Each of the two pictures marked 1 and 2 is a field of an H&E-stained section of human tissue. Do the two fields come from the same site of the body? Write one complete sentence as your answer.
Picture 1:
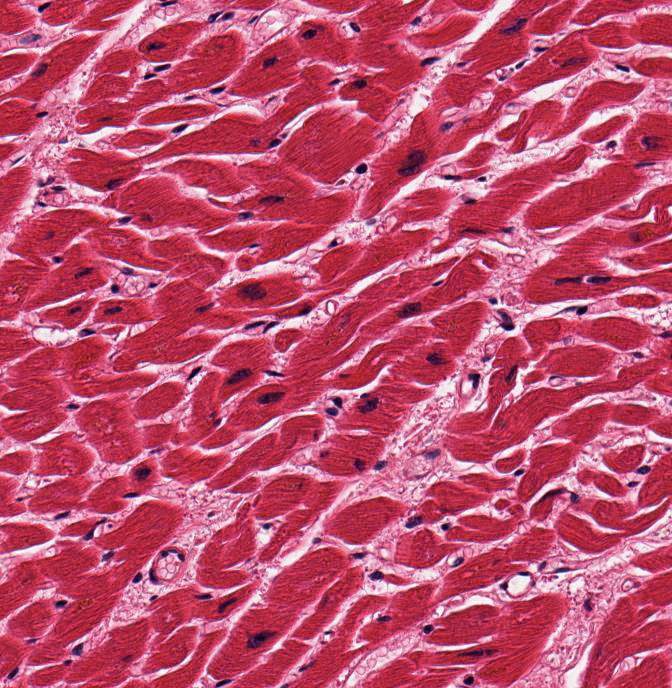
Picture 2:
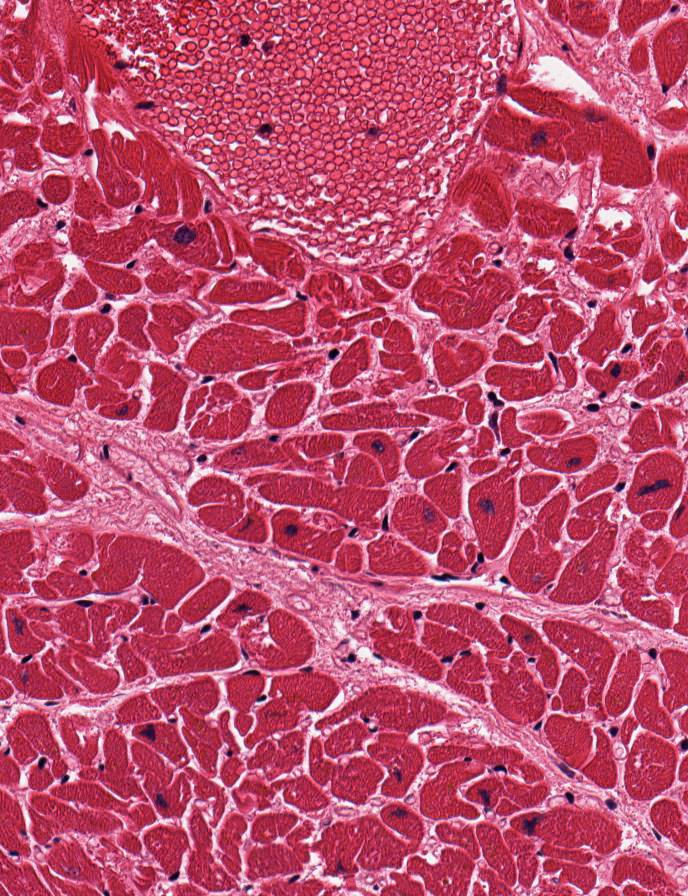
Yes, they come from the same site of the body: both come from the left ventricle of the heart.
